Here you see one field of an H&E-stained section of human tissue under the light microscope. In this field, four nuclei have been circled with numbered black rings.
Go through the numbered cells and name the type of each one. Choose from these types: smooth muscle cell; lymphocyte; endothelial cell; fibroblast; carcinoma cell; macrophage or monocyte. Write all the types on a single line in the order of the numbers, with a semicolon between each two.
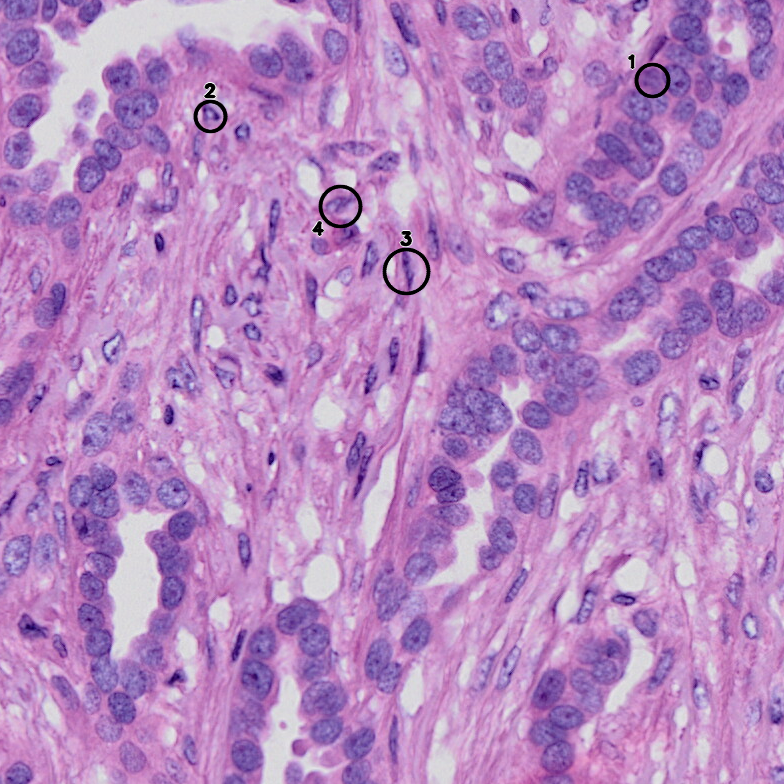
carcinoma cell; fibroblast; fibroblast; fibroblast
